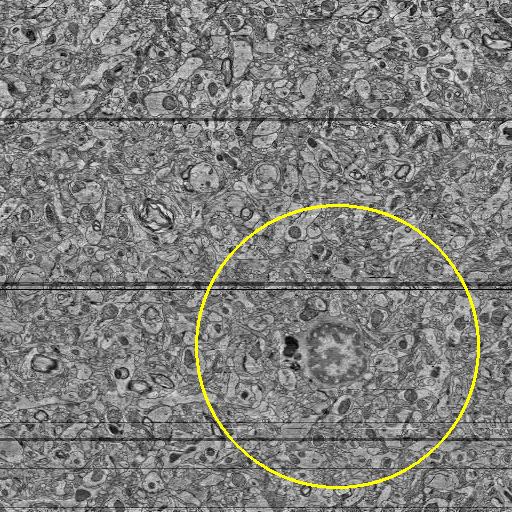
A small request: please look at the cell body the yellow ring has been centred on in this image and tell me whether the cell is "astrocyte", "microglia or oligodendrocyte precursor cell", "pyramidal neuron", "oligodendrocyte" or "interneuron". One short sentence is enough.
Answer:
The cell marked by the ring is an oligodendrocyte.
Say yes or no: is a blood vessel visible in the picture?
No, no blood vessel can be seen.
